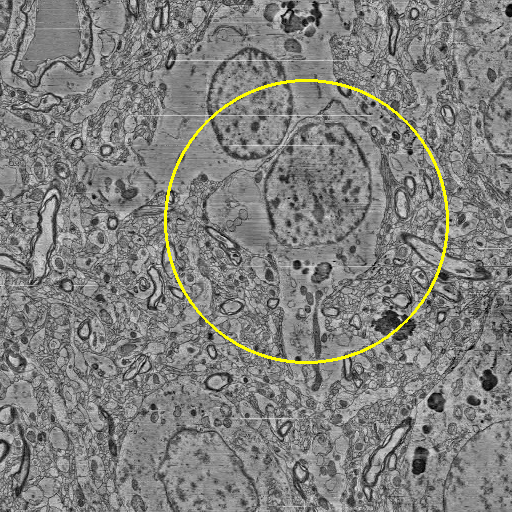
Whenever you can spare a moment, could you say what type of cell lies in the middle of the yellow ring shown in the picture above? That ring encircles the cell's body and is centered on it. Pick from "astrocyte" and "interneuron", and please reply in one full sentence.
The cell whose body sits at the middle of the yellow ring is an astrocyte.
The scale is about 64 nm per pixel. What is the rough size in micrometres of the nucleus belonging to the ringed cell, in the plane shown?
In this plane, the nucleus of the cell at the centre of the ring measures about 8 by 7 micrometres.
